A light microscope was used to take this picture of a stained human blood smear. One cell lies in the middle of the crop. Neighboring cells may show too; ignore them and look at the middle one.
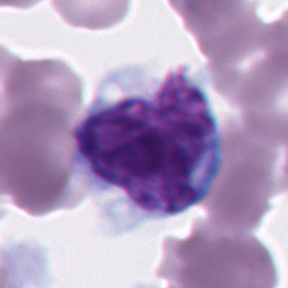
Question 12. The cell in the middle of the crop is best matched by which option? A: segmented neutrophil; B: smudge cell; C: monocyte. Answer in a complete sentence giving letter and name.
With the cell in the middle being a monocyte, option C is the correct choice.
